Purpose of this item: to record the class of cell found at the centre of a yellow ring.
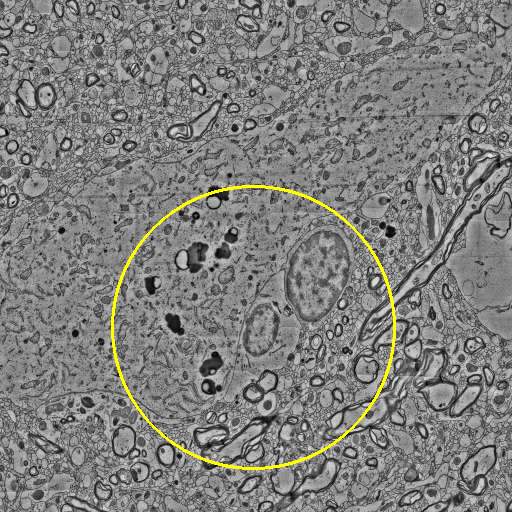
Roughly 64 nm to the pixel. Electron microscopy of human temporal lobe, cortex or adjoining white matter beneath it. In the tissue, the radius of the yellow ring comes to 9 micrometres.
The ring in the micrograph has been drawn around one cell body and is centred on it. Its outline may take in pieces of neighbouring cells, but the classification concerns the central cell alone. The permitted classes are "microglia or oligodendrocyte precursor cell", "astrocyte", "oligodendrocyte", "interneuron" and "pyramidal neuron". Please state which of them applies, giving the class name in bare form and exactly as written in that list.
microglia or oligodendrocyte precursor cell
